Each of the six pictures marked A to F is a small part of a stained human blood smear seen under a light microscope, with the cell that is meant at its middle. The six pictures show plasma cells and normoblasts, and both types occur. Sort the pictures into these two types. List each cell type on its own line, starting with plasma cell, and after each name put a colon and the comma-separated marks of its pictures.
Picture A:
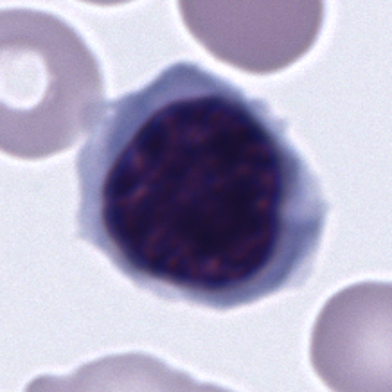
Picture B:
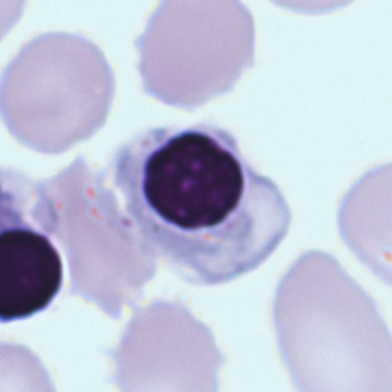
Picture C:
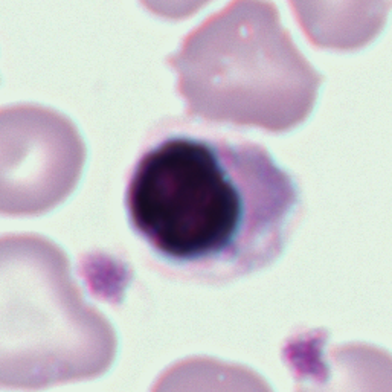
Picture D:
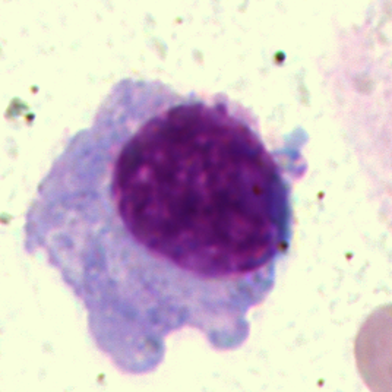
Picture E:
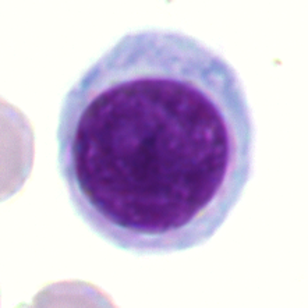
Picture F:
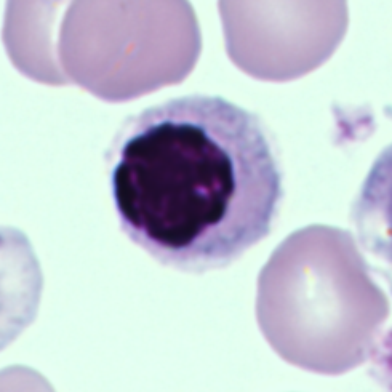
plasma cell: D, E
normoblast: A, B, C, F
